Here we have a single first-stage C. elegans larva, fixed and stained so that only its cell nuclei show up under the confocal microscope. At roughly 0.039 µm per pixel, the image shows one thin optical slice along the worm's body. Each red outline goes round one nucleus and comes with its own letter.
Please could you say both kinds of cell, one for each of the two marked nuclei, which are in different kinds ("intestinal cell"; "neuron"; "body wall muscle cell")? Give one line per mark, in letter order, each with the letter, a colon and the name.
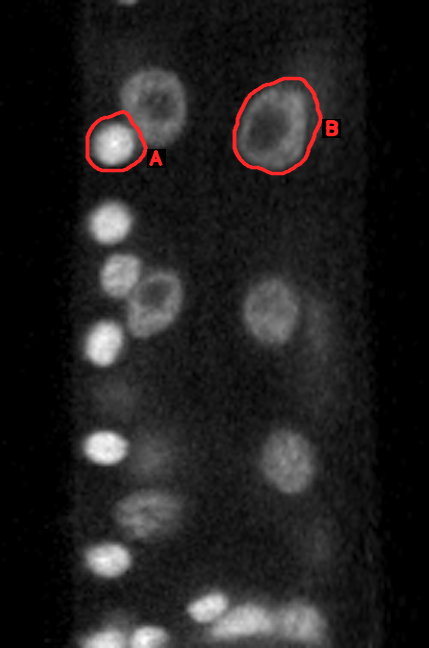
A: neuron
B: intestinal cell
